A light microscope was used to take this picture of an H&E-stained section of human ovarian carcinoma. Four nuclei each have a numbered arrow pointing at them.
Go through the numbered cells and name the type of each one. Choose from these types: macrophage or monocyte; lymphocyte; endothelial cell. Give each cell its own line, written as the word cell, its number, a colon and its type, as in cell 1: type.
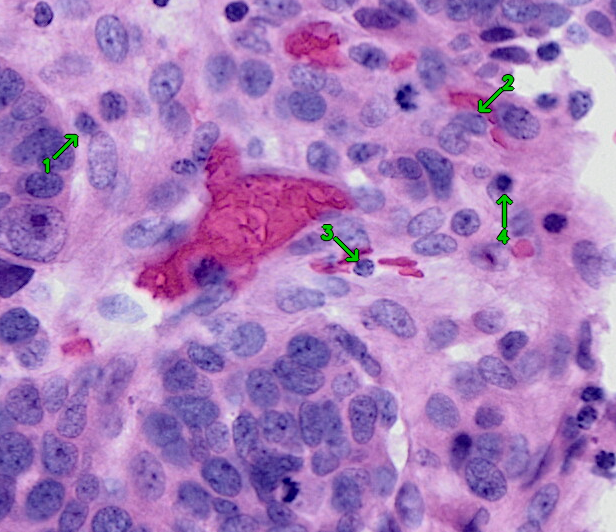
cell 1: macrophage or monocyte
cell 2: endothelial cell
cell 3: lymphocyte
cell 4: lymphocyte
